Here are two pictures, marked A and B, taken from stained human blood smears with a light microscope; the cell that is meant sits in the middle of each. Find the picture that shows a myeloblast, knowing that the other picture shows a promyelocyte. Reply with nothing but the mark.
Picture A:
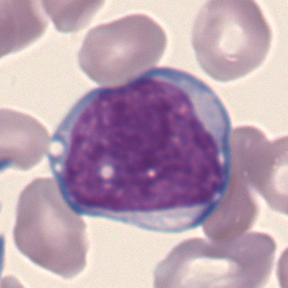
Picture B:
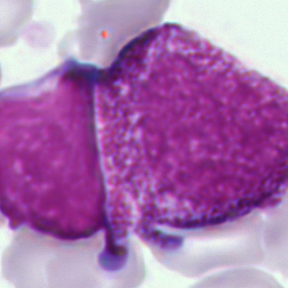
A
